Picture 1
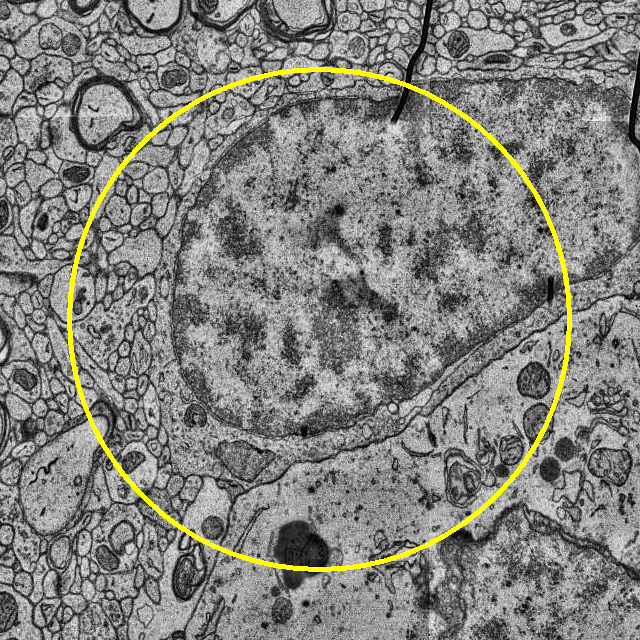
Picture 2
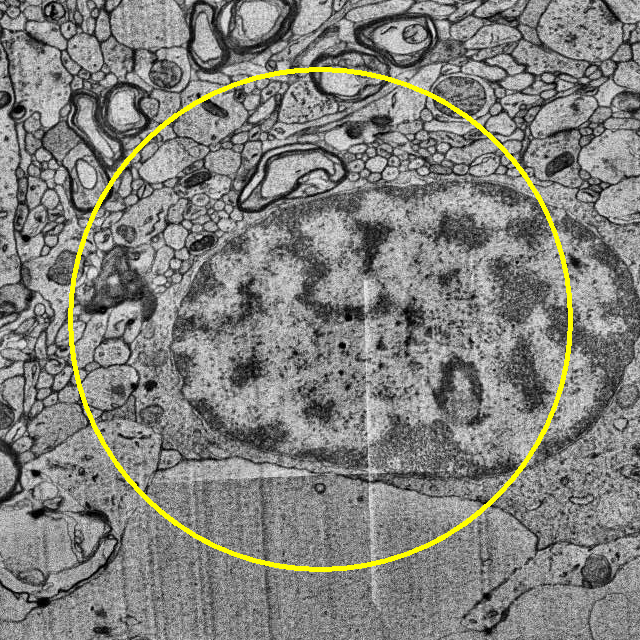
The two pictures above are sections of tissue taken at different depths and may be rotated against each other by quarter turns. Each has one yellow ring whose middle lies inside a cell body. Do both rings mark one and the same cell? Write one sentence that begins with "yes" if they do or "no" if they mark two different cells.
No, the circled cells number two, not one.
